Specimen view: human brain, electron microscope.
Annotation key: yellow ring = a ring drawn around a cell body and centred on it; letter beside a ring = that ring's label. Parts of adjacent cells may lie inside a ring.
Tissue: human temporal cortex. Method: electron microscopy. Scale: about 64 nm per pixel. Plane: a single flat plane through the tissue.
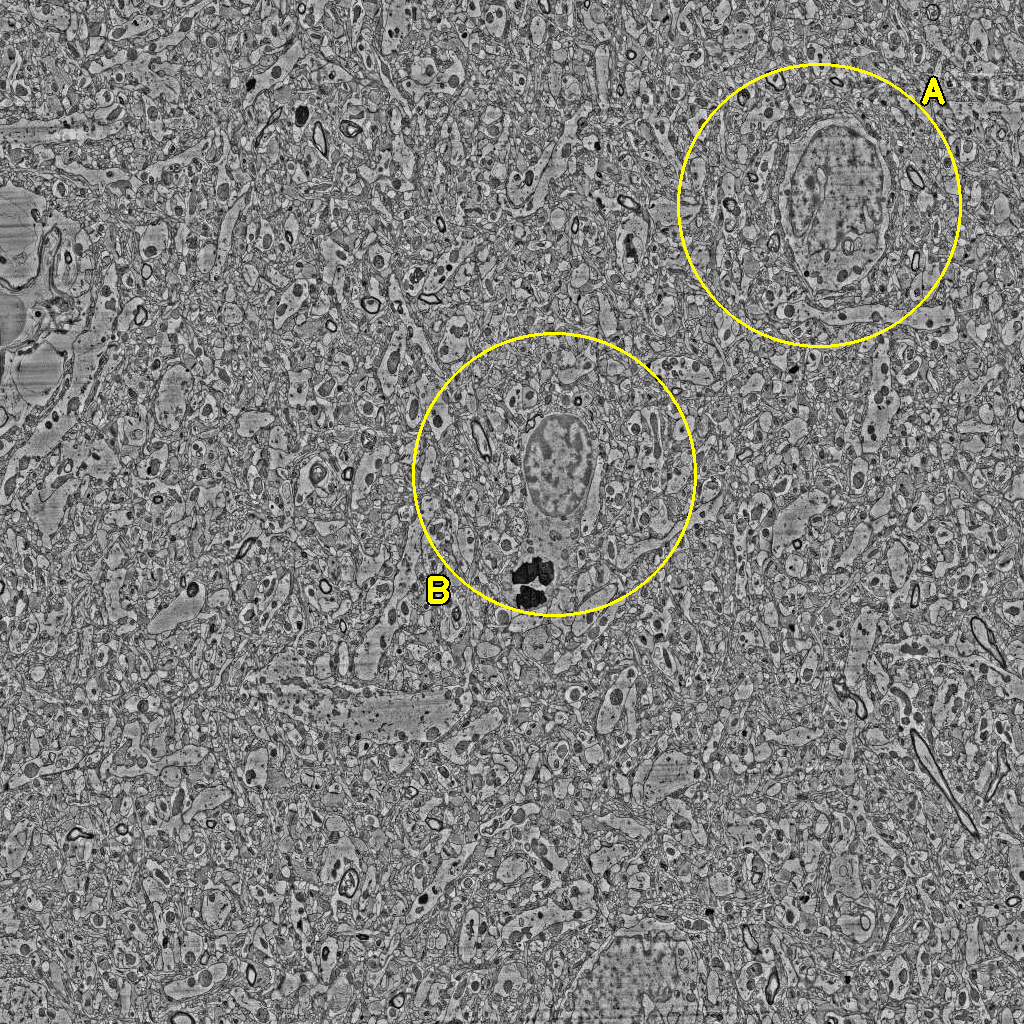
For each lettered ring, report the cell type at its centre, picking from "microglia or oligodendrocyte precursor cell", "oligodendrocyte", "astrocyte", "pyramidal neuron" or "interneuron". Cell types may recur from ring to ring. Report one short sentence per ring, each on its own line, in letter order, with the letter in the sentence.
The cell at the centre of ring A is an interneuron.
The cell at the centre of ring B is an oligodendrocyte.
